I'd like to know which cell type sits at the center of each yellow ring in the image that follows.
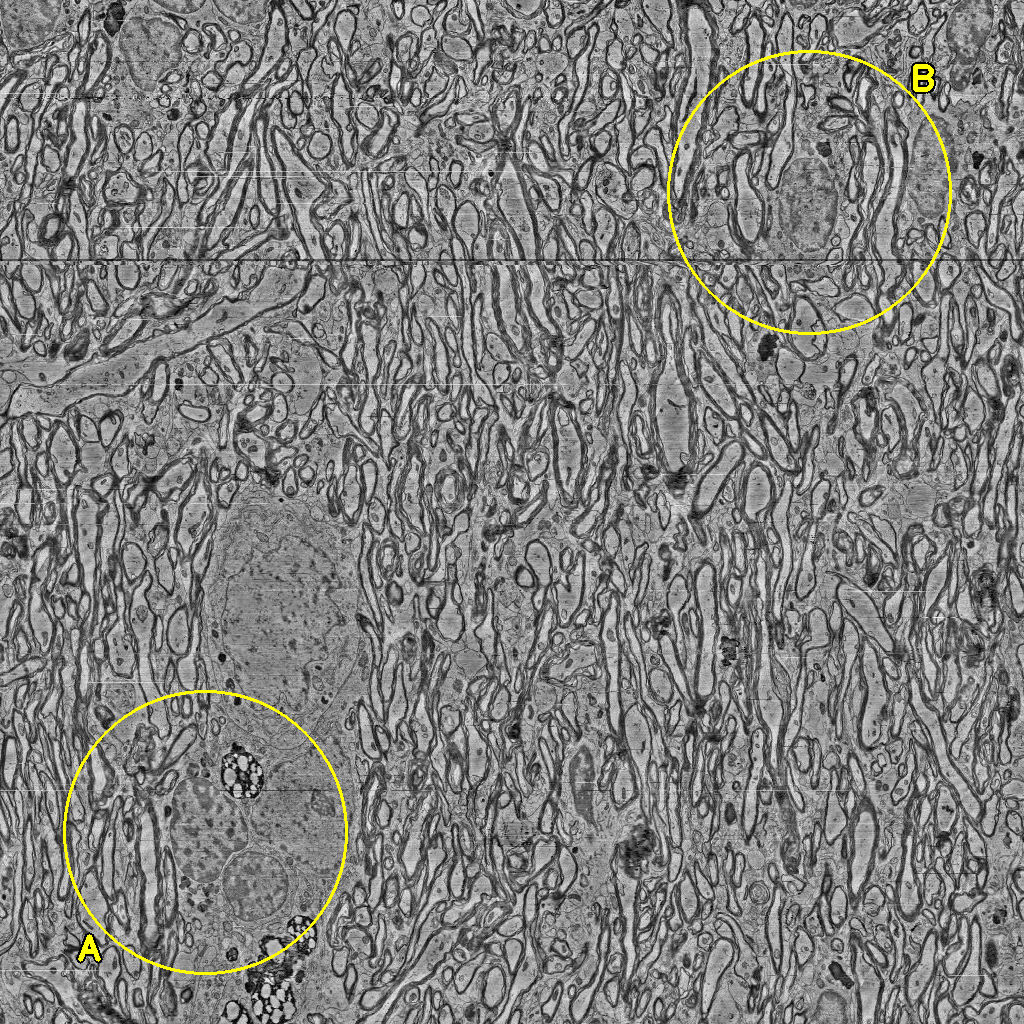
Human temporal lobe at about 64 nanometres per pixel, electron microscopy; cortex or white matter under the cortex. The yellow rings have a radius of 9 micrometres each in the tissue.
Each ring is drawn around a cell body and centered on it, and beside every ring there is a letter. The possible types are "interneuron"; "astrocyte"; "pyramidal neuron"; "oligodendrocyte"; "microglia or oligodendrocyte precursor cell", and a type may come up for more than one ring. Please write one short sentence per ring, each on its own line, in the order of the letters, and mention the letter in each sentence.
The cell at the center of ring A is a microglial cell or oligodendrocyte precursor cell.
The cell at the center of ring B is an oligodendrocyte.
